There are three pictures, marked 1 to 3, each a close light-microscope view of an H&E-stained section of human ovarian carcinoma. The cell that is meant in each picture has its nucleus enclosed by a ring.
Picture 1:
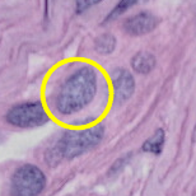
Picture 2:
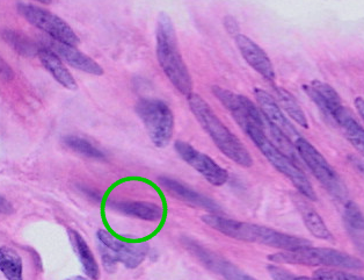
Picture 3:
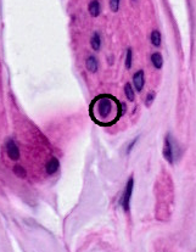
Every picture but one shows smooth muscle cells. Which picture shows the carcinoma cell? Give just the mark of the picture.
1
